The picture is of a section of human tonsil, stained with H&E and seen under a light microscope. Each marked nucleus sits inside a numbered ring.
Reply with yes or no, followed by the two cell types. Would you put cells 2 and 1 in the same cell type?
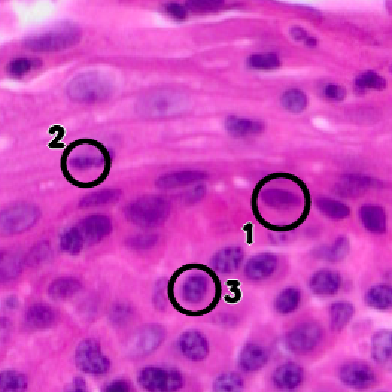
Yes, both are squamous epithelial cells.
